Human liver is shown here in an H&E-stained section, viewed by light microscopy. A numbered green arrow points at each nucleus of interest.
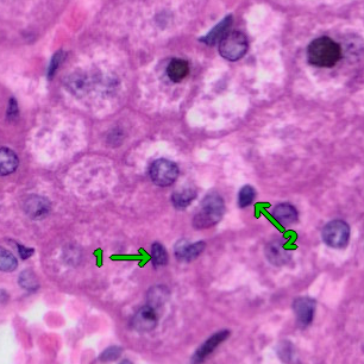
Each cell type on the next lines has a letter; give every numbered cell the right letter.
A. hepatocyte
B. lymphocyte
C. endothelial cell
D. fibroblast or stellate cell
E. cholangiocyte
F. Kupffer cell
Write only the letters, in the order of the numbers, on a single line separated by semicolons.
D; B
